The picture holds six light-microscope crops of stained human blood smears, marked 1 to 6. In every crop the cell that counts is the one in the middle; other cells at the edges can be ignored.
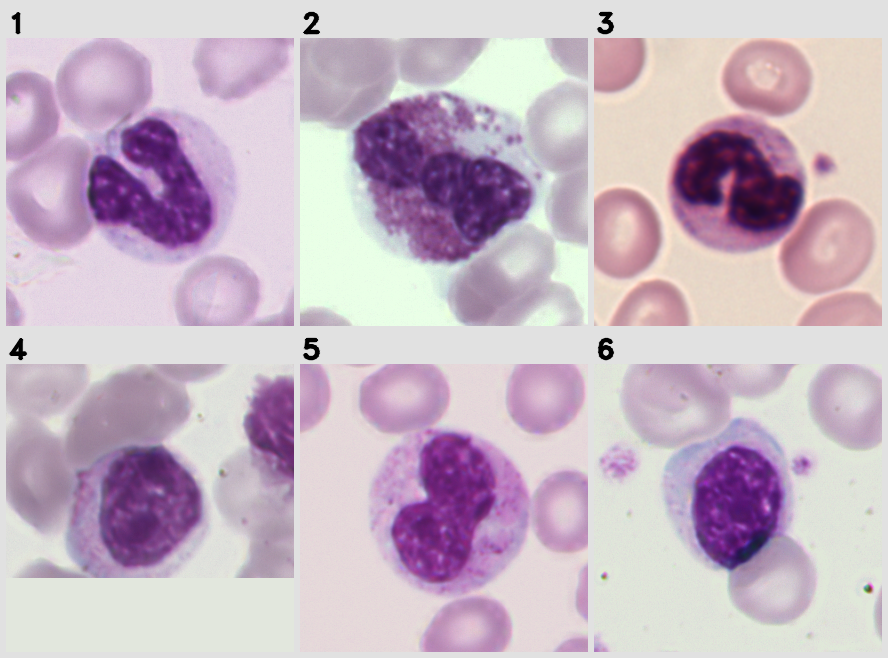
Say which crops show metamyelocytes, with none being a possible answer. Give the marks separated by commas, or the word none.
4, 5, 6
